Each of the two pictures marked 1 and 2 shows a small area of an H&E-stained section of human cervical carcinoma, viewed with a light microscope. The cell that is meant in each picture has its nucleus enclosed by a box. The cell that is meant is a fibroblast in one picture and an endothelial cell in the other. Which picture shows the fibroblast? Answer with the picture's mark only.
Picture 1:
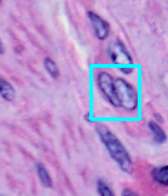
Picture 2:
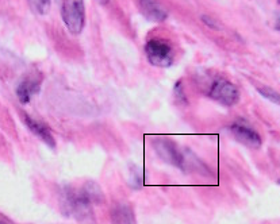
2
